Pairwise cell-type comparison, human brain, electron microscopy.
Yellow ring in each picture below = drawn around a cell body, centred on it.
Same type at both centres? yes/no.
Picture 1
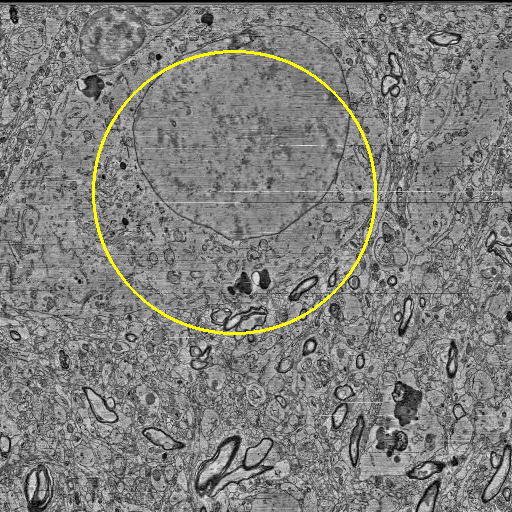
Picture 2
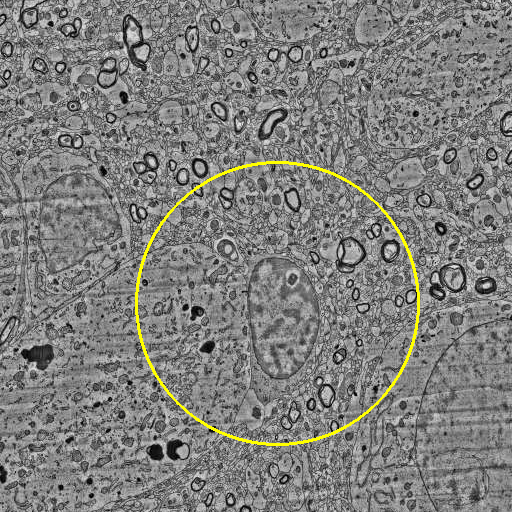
no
